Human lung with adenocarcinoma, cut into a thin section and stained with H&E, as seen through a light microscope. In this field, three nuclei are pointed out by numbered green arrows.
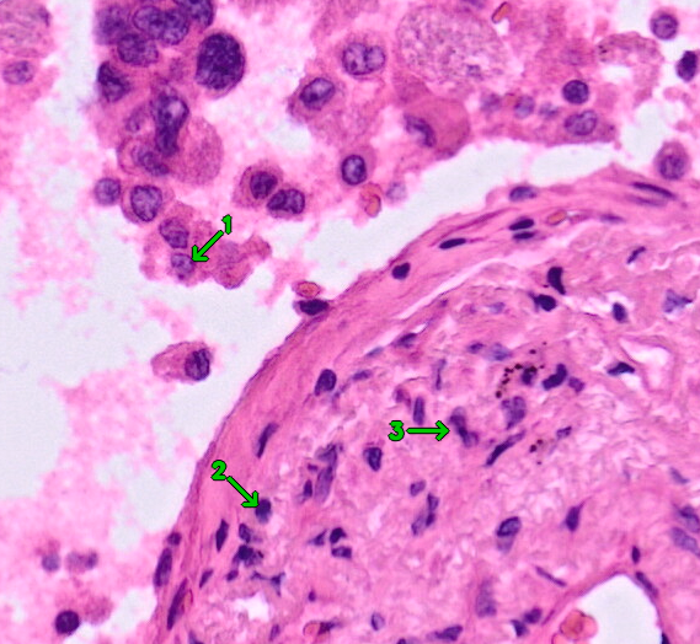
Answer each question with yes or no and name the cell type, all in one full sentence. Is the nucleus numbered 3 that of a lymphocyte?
No, cell 3 is not a lymphocyte; a plasma cell is correct.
